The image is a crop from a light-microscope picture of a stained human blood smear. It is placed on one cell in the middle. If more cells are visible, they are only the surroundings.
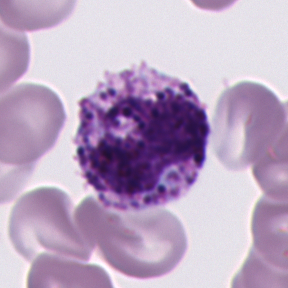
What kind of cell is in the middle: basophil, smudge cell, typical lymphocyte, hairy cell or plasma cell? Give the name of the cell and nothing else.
basophil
